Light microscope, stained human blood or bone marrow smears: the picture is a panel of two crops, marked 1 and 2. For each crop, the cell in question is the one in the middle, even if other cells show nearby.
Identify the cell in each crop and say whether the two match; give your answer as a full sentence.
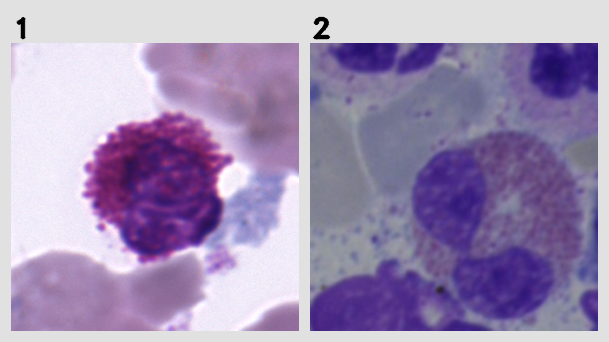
Yes, as an answer for this item, both crops show eosinophils.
